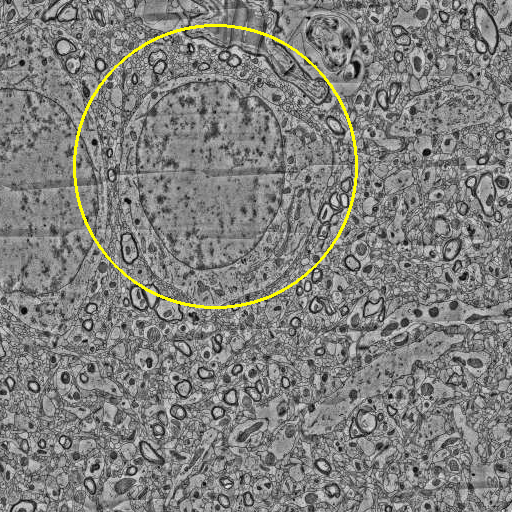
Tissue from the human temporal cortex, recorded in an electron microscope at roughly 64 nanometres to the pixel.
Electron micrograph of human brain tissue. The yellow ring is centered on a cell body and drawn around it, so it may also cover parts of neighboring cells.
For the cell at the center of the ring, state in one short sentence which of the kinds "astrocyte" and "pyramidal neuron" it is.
This ring is centered on a pyramidal neuron.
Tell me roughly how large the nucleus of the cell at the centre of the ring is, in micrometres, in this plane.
The nucleus works out at approximately 12 by 10 micrometres in this plane.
